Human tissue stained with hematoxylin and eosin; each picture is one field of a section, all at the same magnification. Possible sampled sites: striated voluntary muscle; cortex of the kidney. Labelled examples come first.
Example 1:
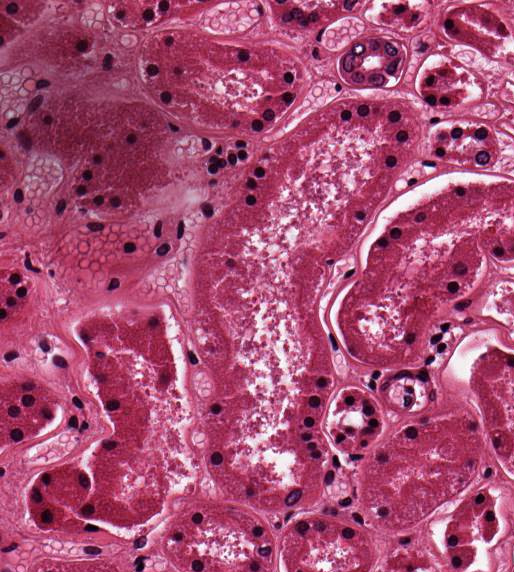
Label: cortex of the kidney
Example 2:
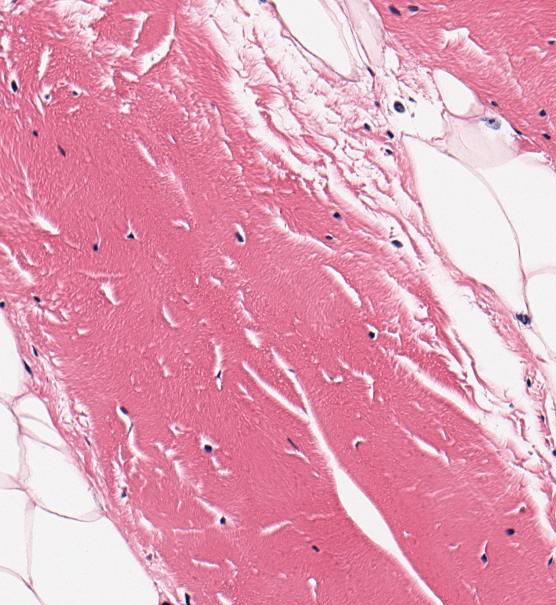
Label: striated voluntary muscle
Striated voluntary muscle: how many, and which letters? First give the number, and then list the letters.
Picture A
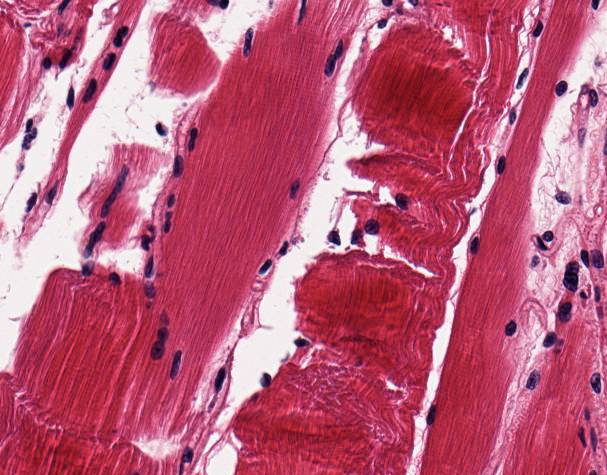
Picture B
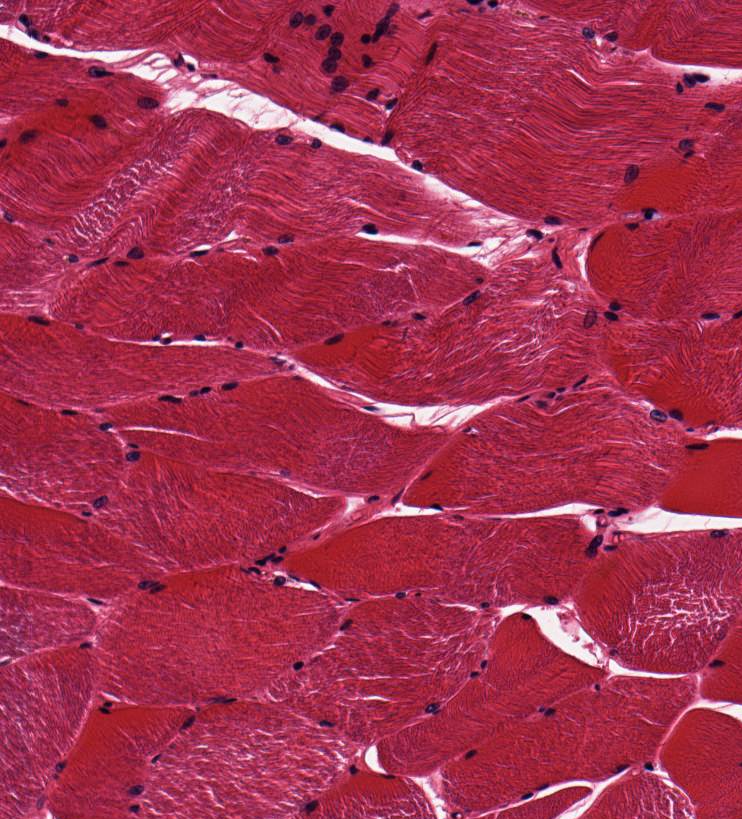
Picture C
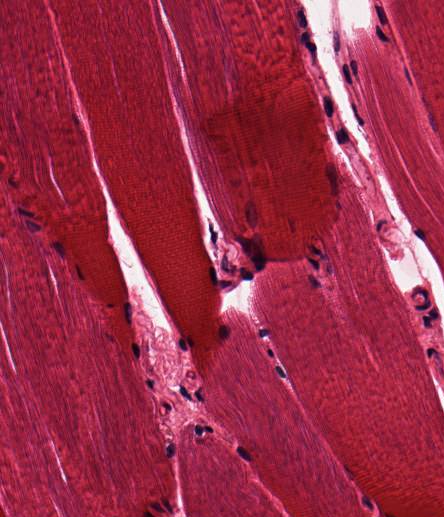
3: A, B, C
